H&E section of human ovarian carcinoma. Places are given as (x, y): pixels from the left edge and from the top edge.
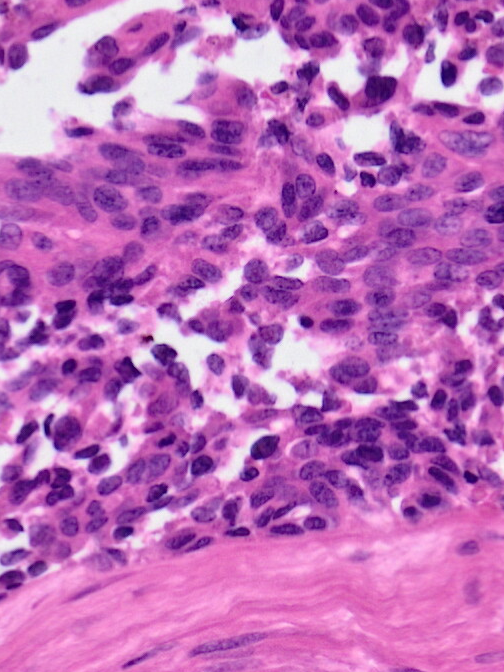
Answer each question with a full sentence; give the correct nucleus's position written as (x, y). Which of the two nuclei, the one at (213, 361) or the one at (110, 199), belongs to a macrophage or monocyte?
The nucleus at (213, 361) is contained in a macrophage or monocyte.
